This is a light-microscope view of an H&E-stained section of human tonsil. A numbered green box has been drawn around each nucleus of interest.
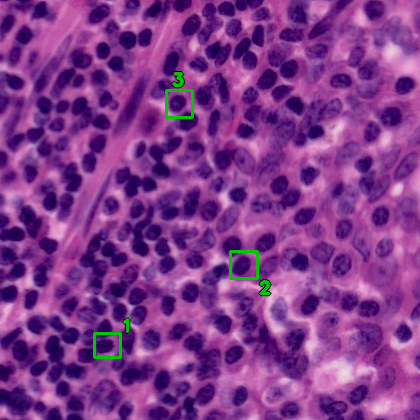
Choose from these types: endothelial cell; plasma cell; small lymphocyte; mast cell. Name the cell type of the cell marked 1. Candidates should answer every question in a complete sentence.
The cell indicated by marker 1 is a small lymphocyte in this section.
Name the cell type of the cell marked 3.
To a plasma cell belongs the nucleus marked 3.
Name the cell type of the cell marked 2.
The label 2 in this section denotes a plasma cell.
